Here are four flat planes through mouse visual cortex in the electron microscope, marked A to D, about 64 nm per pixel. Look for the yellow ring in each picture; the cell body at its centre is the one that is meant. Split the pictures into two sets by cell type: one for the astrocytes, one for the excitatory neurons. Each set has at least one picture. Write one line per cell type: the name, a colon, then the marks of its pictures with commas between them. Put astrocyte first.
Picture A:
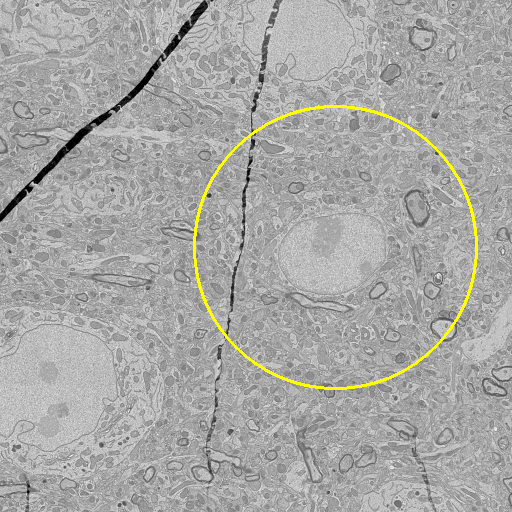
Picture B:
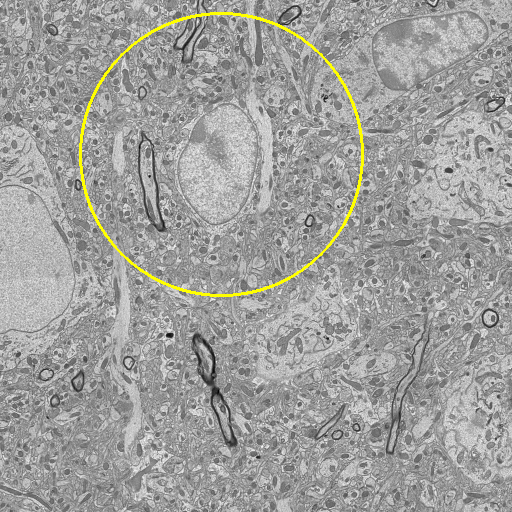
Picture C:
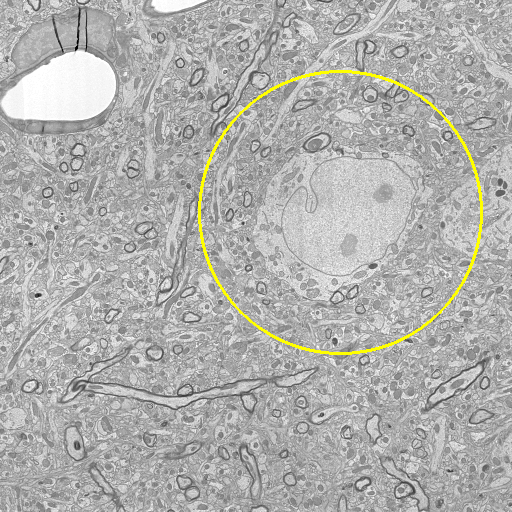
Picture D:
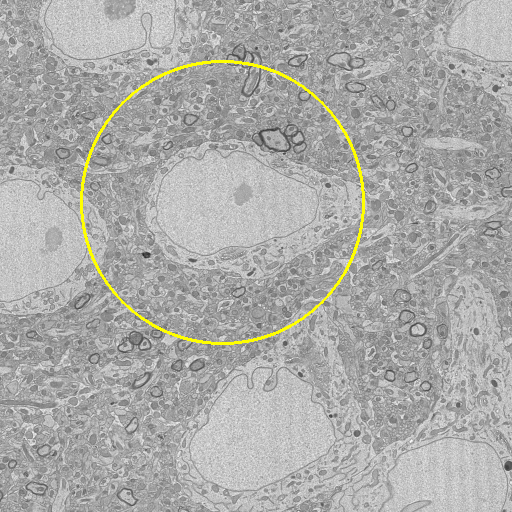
astrocyte: A, B
excitatory neuron: C, D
